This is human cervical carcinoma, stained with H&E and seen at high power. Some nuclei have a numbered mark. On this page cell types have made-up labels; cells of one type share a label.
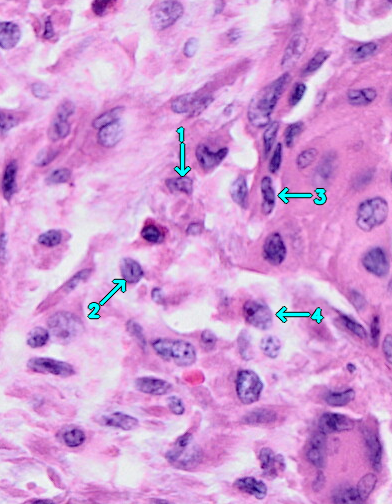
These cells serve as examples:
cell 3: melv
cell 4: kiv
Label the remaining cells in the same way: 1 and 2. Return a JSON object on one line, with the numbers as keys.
{"1": "kiv", "2": "kiv"}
